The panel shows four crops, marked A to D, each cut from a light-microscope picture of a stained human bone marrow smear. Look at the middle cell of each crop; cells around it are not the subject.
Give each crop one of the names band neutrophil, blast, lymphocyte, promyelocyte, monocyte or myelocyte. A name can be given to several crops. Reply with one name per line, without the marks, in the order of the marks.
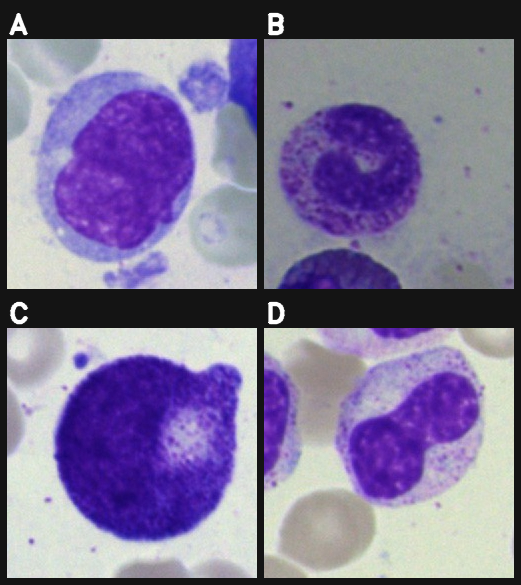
monocyte
band neutrophil
promyelocyte
band neutrophil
